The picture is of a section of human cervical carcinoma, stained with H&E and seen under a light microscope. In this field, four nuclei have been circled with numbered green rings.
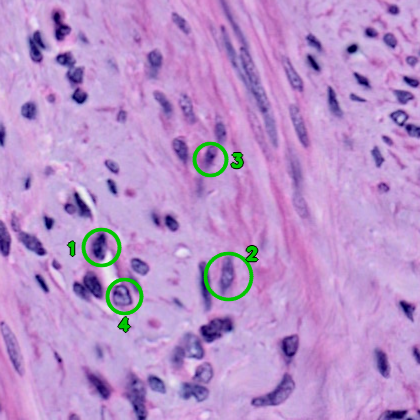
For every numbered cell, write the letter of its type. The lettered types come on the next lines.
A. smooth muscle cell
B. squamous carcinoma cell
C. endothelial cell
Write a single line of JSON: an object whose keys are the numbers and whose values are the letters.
{"1": "C", "2": "A", "3": "A", "4": "C"}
